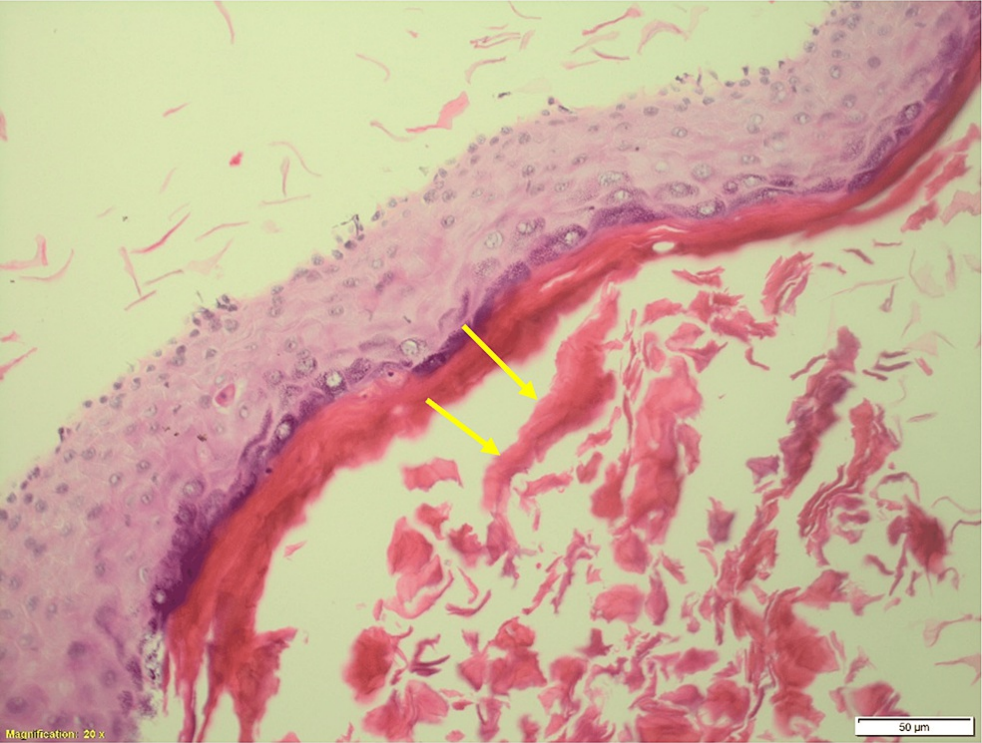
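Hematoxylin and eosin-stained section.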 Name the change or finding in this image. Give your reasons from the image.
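A layered squamous epithelial lining borders a space filled with laminated pink flakes. No hair follicles or glands are seen in the wall.
Answer: epidermoid cyst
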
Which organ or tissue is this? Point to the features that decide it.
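A band of epithelium many cell layers thick. A row of dark purple granular cells lies against the compact pink layer. Cells have pale pink cytoplasm and round nuclei. So: stratified squamous epithelium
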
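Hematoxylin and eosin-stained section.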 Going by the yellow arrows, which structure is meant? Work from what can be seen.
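The arrows point to bright pink, acellular, flaky material. The material forms laminated sheets and loose fragments on one side of the epithelium. No nuclei are seen in this pink material.
Keratinous contents.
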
